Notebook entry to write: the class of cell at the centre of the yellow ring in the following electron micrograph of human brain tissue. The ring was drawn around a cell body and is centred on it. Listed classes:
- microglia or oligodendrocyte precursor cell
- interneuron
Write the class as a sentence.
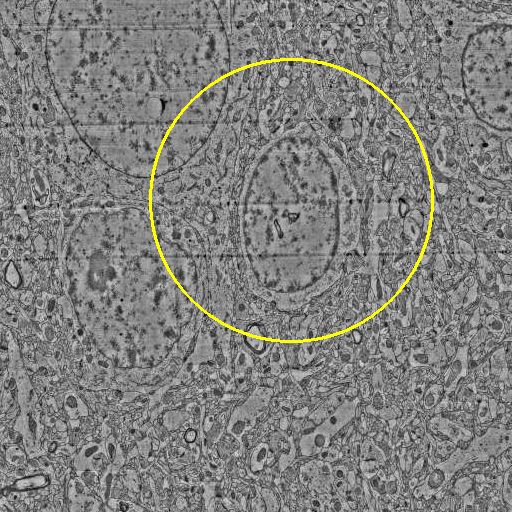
The yellow ring sits on an interneuron.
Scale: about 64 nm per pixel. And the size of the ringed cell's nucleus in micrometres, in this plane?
About 10 by 6 micrometres; in this plane the nucleus is clearly longer than it is wide.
